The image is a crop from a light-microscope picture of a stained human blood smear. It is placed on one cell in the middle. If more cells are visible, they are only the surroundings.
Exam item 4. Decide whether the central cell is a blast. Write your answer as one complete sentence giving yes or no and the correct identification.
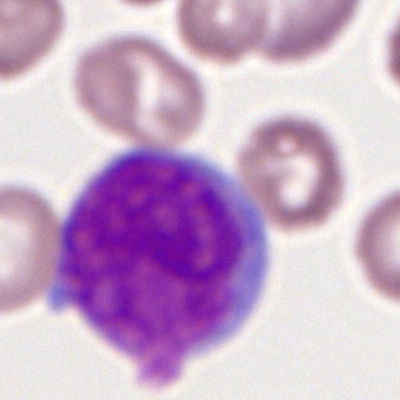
No, the cell under consideration is a monocyte instead of a blast.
